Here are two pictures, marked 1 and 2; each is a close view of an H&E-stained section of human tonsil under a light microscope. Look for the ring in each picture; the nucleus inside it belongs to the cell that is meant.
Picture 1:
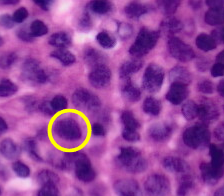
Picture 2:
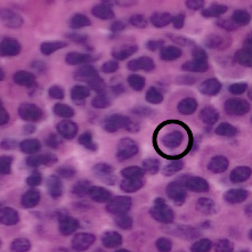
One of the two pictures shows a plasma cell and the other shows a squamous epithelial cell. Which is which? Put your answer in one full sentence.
Picture 1 shows a squamous epithelial cell and picture 2 shows a plasma cell.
